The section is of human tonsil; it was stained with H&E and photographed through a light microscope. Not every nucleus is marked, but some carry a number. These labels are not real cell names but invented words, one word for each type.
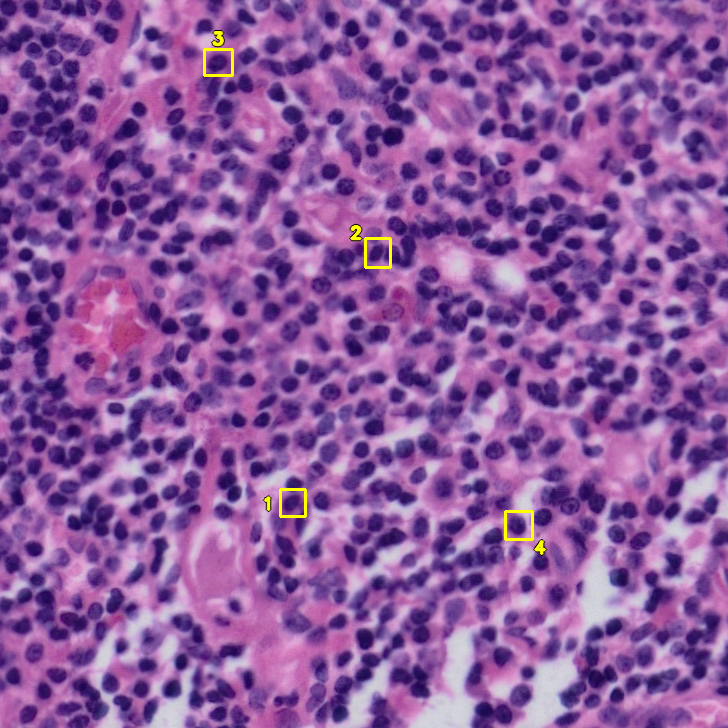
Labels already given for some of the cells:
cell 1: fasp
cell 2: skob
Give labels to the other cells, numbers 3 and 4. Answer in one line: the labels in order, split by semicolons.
fasp; fasp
